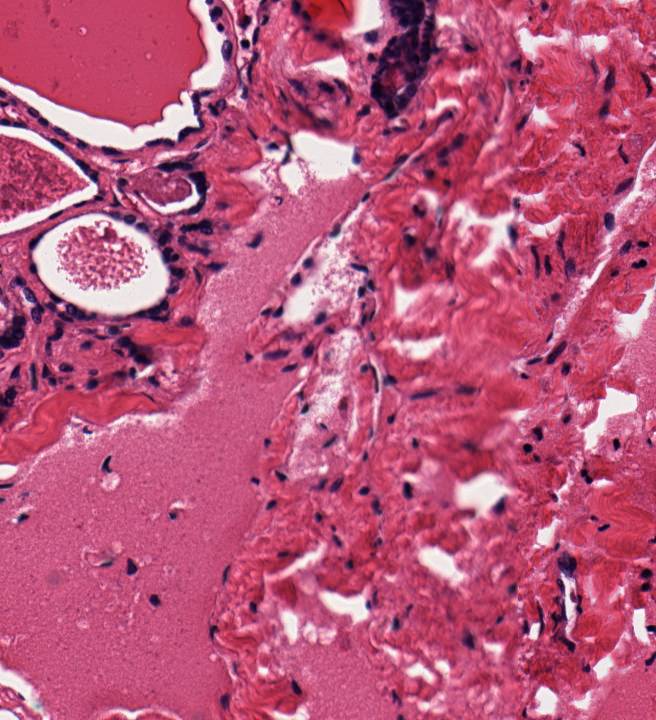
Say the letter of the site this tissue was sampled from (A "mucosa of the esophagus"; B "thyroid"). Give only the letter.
B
